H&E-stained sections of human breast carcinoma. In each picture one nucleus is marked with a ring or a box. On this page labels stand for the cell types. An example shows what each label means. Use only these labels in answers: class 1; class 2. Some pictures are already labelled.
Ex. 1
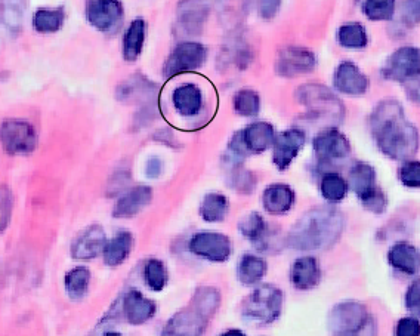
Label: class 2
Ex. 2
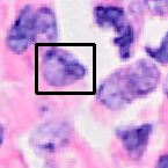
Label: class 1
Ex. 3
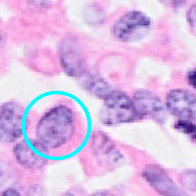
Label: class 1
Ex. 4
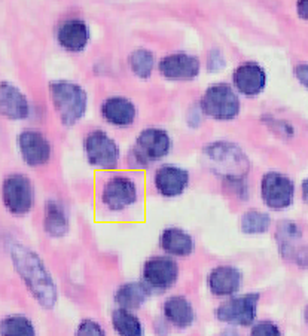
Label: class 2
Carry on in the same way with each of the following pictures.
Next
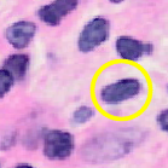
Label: class 2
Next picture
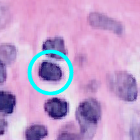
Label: class 2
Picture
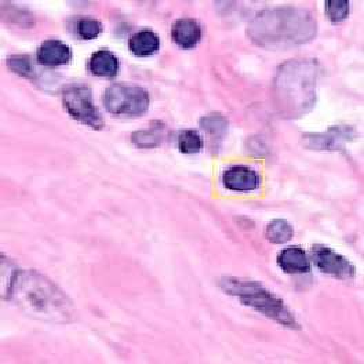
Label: class 2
